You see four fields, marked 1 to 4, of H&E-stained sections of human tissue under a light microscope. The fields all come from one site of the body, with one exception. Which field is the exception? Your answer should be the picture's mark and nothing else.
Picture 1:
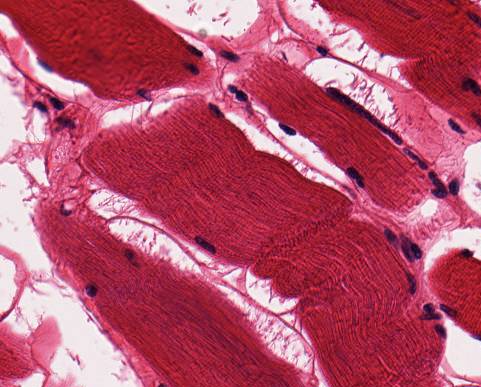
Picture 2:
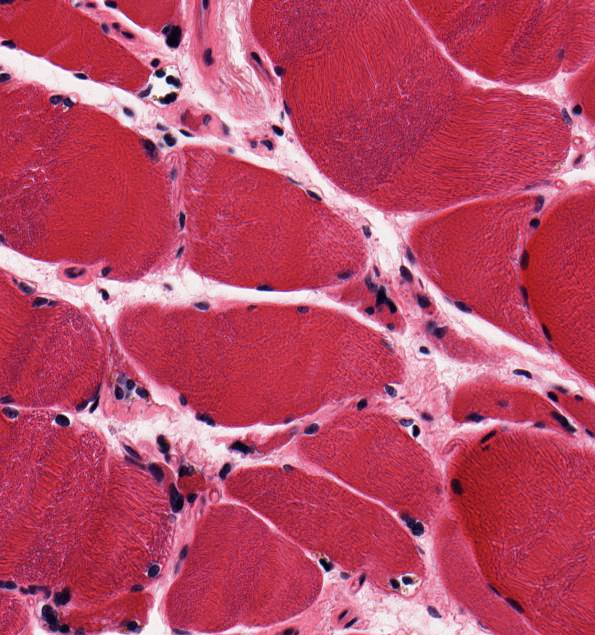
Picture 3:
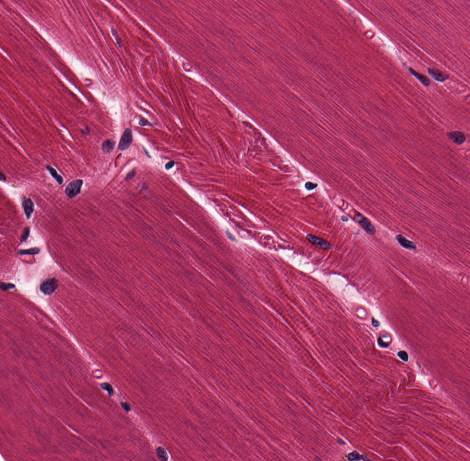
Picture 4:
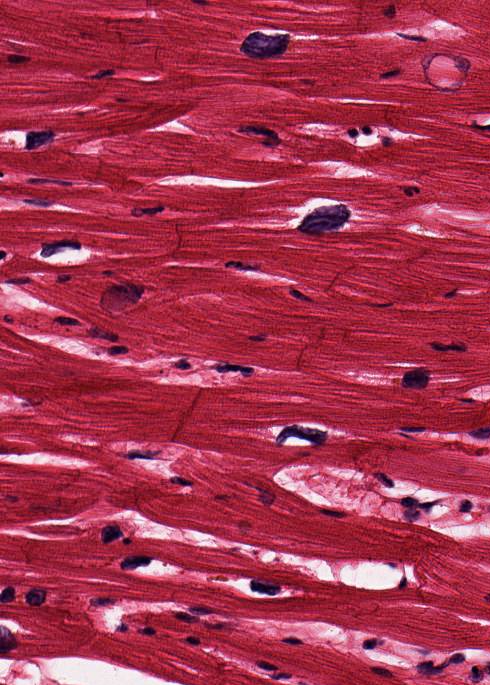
4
